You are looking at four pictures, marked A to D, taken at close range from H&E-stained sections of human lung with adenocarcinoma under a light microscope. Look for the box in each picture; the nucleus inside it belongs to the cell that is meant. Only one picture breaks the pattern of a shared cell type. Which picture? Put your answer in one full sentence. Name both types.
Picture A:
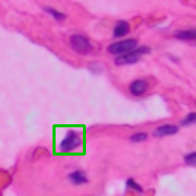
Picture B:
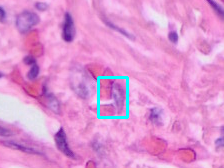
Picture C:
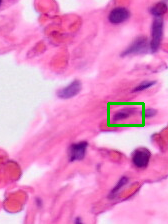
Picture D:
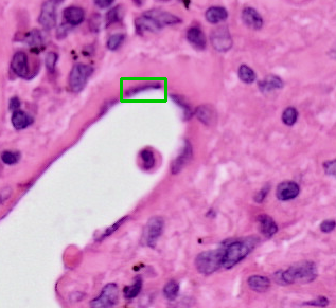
All pictures except A show endothelial cells; picture A shows a type I pneumocyte.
